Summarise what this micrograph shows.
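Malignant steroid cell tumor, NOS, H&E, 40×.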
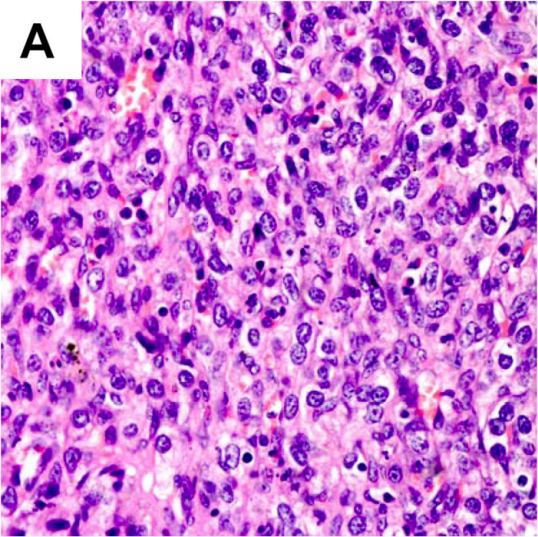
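The cells have moderate amounts of pale pink to faintly vacuolated cytoplasm and poorly defined borders. Their nuclei are round to oval but vary considerably in size and shape, many with irregular or indented contours, vesicular to coarse chromatin and visible nucleoli; some are larger and darker than their neighbours.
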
